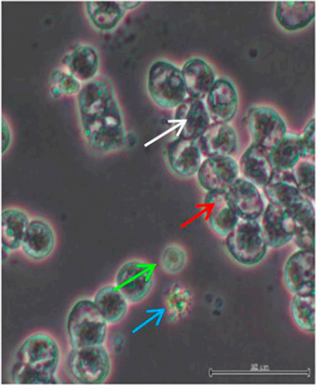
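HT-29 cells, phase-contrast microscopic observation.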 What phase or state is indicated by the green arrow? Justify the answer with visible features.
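The arrow points to a small, round, bright-rimmed cell. The cell stands apart from its neighbours. On this evidence: floating cells.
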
